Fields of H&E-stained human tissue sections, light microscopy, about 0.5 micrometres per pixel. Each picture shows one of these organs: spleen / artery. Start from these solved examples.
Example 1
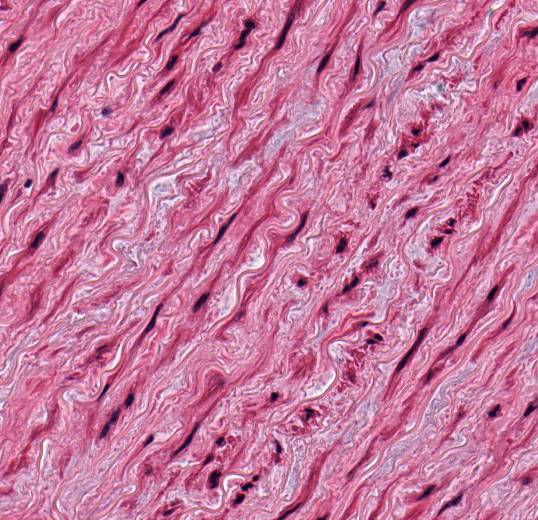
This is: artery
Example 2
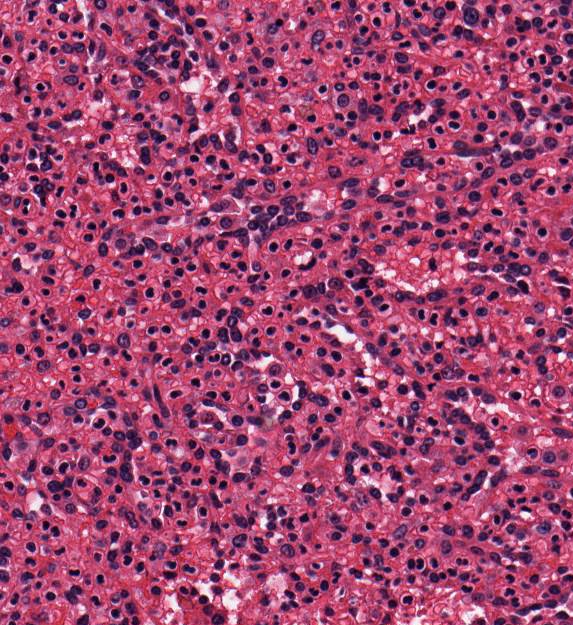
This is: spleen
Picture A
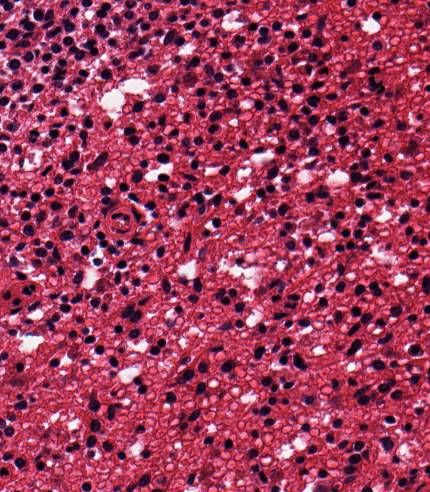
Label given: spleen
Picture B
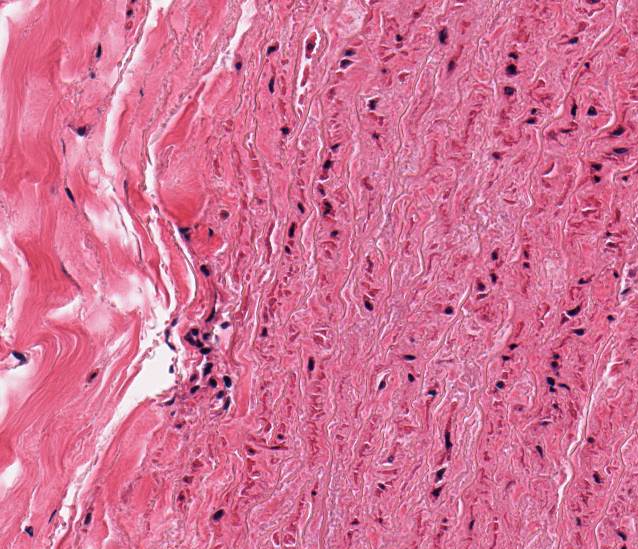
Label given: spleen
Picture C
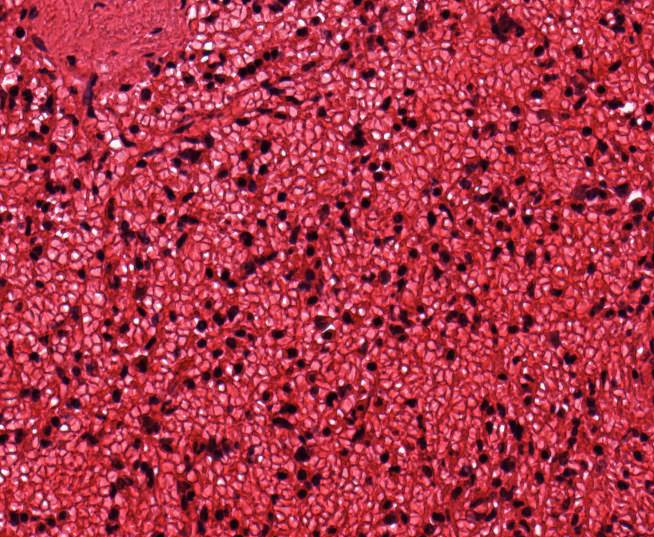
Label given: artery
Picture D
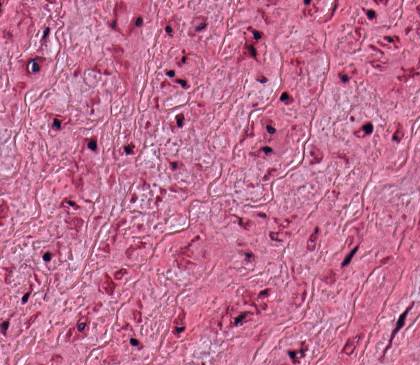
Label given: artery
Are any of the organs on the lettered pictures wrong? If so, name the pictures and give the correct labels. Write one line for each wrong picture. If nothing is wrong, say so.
B is labelled spleen; correct label: artery
C is labelled artery; correct label: spleen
